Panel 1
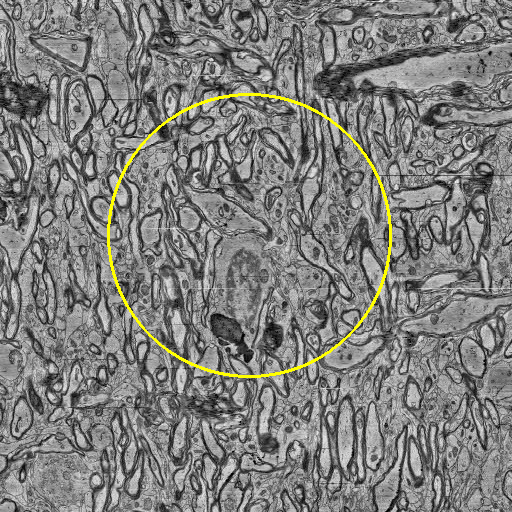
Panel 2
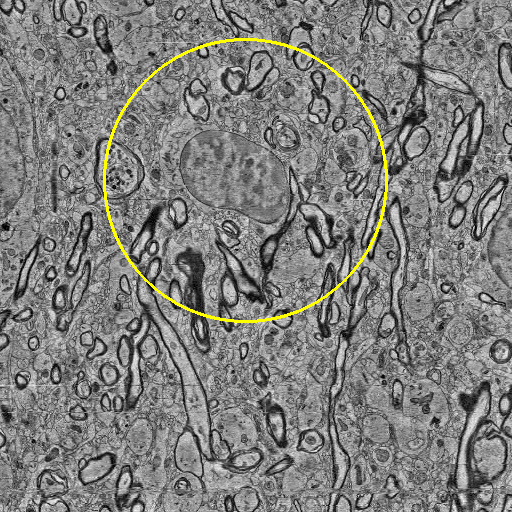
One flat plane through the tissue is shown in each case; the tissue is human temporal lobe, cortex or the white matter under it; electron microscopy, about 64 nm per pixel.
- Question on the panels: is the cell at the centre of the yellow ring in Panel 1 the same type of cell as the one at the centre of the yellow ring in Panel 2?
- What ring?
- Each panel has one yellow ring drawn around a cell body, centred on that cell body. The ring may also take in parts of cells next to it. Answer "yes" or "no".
no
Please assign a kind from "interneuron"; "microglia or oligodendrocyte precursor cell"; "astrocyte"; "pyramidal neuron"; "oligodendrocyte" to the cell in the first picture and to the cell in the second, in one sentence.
In the first picture we have an oligodendrocyte, and in the second, a microglial cell or oligodendrocyte precursor cell.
